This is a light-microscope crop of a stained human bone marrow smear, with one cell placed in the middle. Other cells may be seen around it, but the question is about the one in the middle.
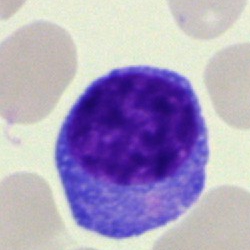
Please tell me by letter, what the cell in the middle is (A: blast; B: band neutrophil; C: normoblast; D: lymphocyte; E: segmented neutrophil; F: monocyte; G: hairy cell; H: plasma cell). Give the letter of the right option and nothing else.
D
